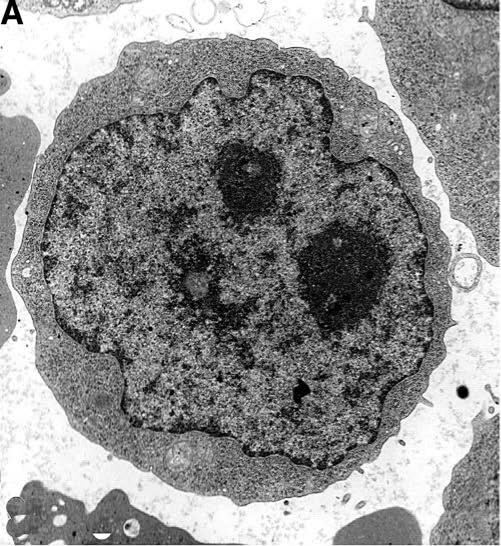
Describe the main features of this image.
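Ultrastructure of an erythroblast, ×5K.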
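The nuclear chromatin is mostly finely dispersed, with small dense clumps, and two large dense nucleoli stand out. The cytoplasm forms a thin, finely granular rim with few organelles, and the cell surface bears a few small projections.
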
